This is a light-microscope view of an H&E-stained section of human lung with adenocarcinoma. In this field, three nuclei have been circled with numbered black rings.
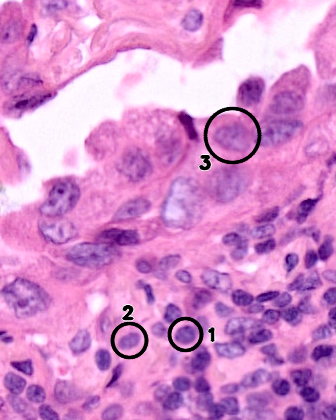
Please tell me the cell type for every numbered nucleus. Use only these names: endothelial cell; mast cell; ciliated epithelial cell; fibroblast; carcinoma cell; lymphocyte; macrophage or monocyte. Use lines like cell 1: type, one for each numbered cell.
cell 1: lymphocyte
cell 2: lymphocyte
cell 3: carcinoma cell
